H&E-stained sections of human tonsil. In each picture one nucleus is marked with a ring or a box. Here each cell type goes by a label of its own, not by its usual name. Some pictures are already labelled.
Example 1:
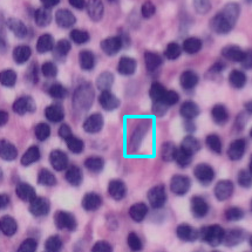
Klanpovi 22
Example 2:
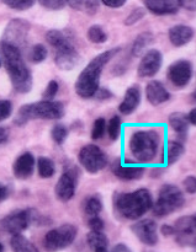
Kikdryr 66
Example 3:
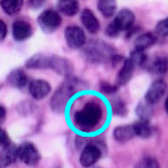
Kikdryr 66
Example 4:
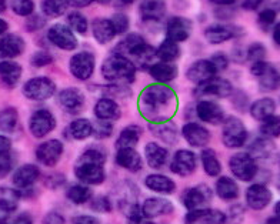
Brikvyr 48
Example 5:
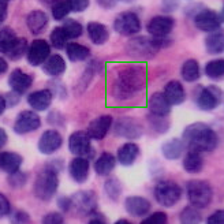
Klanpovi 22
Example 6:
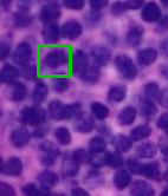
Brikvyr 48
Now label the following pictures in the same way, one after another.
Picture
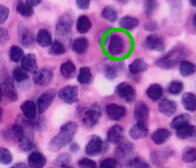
Klanpovi 22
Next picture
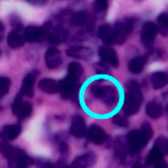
Brikvyr 48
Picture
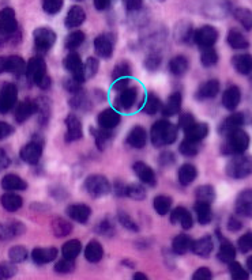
Brikvyr 48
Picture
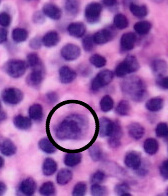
Kikdryr 66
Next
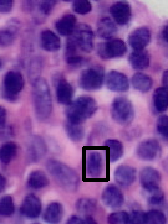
Klanpovi 22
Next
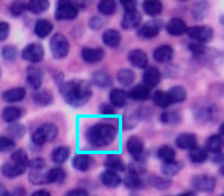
Kikdryr 66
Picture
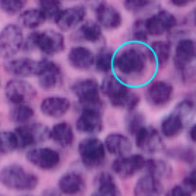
Brikvyr 48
